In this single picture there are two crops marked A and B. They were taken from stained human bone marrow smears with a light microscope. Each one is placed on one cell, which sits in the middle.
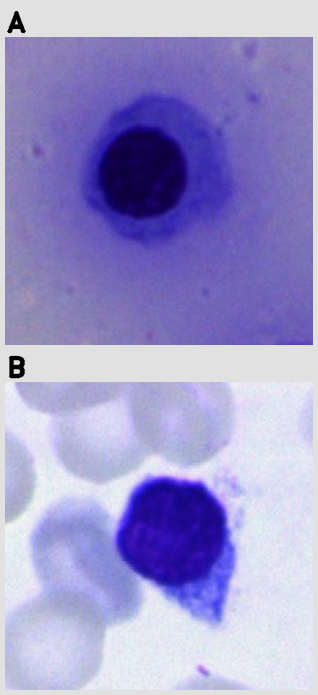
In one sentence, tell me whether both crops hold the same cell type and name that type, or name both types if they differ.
No, a lymphocyte is depicted in crop B, whereas an erythroblast is depicted in crop A.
